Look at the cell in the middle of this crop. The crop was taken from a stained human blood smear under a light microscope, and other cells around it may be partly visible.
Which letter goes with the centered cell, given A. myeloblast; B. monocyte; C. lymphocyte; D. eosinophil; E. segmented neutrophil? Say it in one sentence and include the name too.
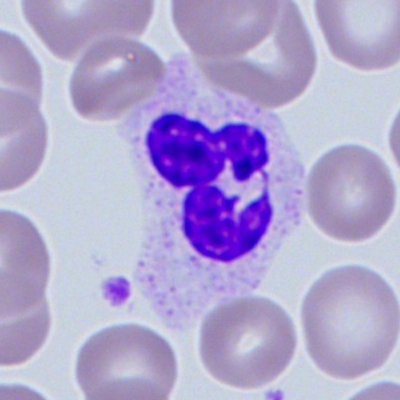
As the central cell is a segmented neutrophil, option E is correct.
